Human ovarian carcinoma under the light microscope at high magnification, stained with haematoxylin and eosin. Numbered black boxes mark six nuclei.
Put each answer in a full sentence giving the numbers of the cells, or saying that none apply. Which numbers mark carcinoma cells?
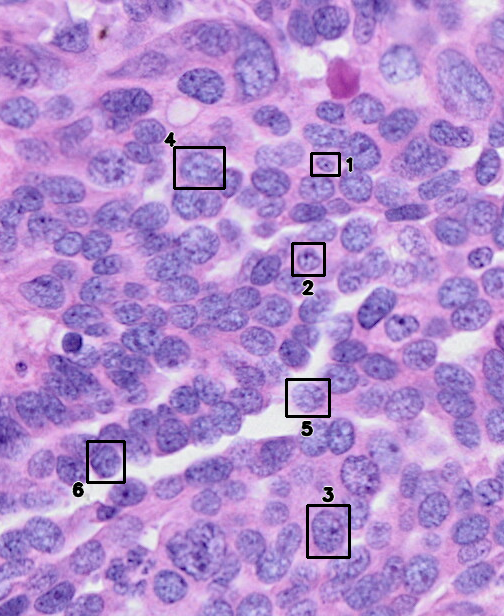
Cells 3, 4, 5 and 6 in the section are typed as carcinoma cells.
